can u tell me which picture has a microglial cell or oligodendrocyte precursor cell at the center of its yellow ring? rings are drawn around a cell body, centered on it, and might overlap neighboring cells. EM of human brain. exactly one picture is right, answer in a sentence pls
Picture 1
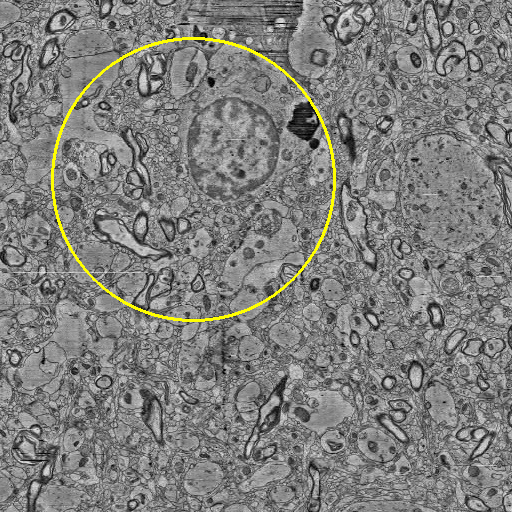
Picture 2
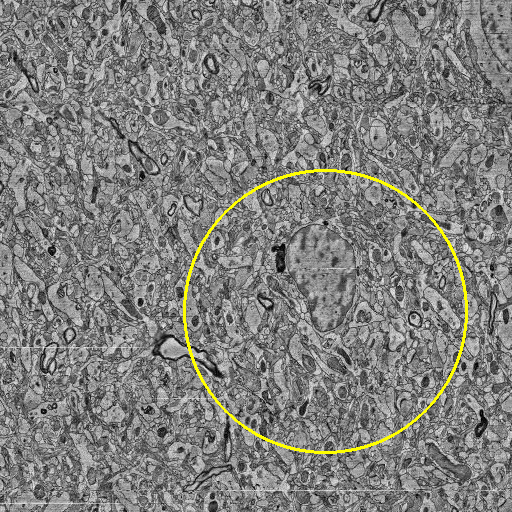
Picture 2 is the one.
